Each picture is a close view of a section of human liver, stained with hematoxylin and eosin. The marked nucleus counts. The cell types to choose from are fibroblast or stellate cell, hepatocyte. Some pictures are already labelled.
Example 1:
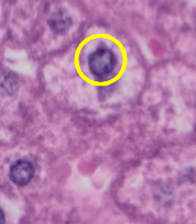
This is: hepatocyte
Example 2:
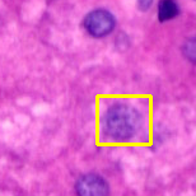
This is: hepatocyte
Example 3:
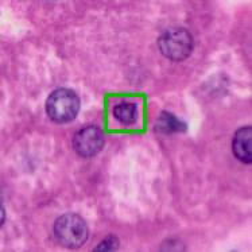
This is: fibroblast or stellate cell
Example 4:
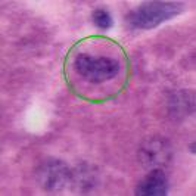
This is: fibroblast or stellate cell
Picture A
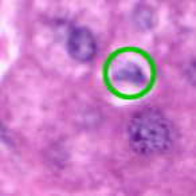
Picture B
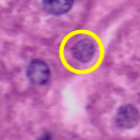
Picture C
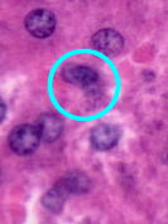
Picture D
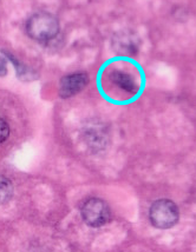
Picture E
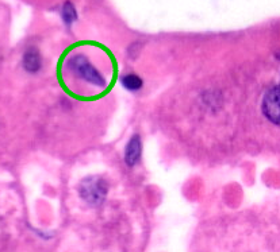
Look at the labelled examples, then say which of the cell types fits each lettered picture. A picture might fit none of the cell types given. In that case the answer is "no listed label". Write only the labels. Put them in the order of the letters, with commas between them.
no listed label, no listed label, no listed label, fibroblast or stellate cell, fibroblast or stellate cell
